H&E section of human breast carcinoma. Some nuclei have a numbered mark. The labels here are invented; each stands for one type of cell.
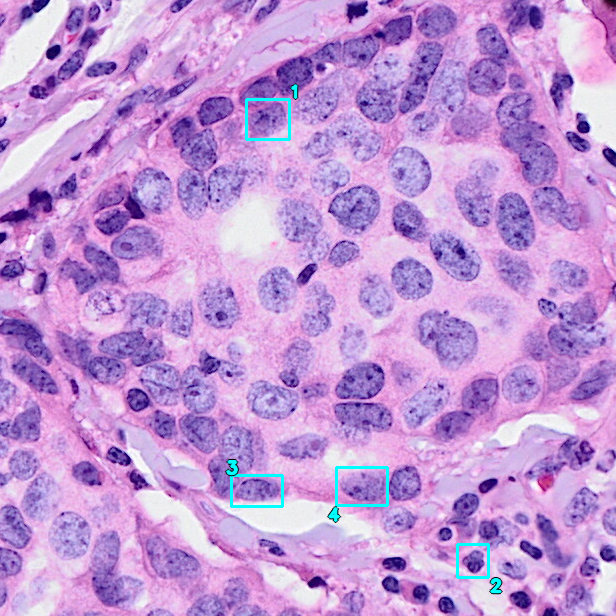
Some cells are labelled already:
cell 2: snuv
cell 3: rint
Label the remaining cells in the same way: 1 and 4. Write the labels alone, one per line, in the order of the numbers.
rint
rint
